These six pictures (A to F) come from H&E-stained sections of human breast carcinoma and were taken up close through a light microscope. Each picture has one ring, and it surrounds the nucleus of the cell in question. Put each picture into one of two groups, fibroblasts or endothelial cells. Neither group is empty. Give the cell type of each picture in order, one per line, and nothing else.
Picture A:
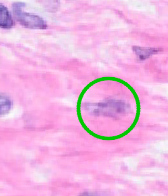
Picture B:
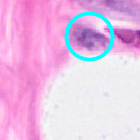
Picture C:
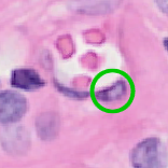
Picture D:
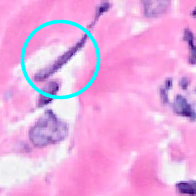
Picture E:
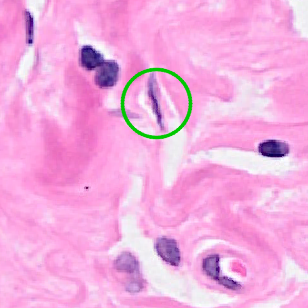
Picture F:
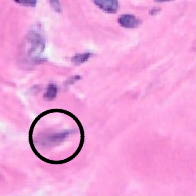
fibroblast
endothelial cell
endothelial cell
fibroblast
fibroblast
fibroblast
